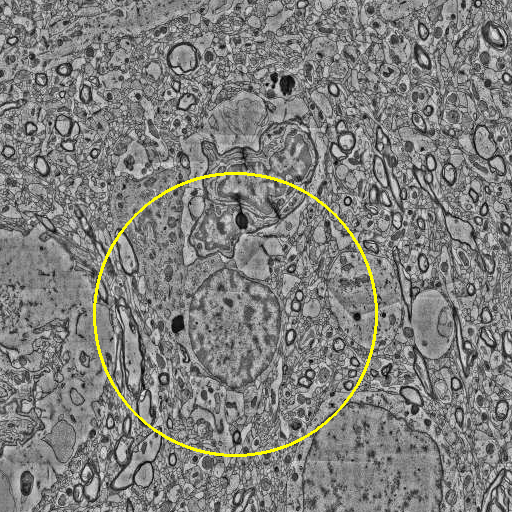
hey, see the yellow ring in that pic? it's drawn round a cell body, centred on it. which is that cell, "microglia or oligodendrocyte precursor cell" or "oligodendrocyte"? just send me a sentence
The cell in the ring is an oligodendrocyte.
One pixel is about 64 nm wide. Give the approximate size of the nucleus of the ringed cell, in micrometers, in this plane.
The ringed cell's nucleus measures approximately 7 by 6 micrometres in this plane.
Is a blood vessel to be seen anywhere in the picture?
Yes, a blood vessel is present in this picture.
